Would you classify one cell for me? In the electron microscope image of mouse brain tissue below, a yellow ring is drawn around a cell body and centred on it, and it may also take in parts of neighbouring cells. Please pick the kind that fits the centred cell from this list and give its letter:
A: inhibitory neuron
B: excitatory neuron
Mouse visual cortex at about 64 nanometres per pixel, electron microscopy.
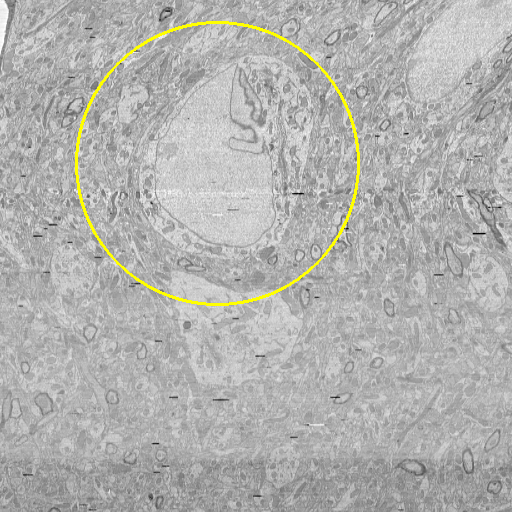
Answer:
A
